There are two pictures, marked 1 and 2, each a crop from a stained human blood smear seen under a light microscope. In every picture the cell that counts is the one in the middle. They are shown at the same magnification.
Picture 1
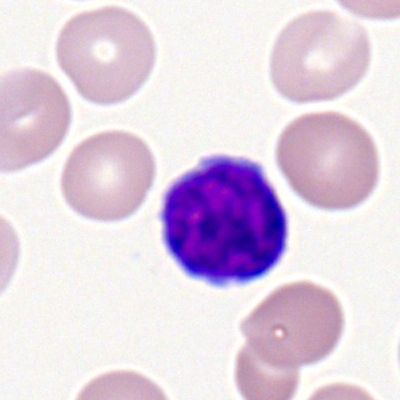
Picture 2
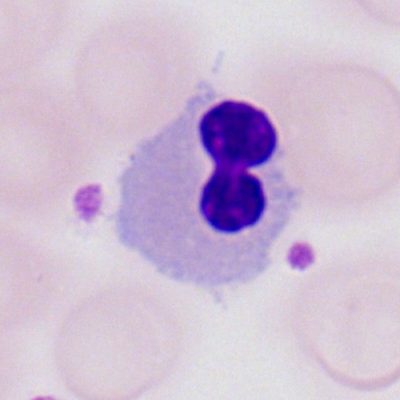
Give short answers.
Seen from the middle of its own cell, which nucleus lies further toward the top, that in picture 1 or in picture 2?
2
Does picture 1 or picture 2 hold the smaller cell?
1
